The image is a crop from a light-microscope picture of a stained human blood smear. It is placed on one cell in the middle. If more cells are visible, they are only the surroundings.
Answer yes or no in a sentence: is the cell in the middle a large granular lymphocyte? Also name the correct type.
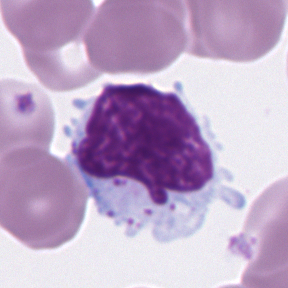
Yes, the cell in the central position is a large granular lymphocyte.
